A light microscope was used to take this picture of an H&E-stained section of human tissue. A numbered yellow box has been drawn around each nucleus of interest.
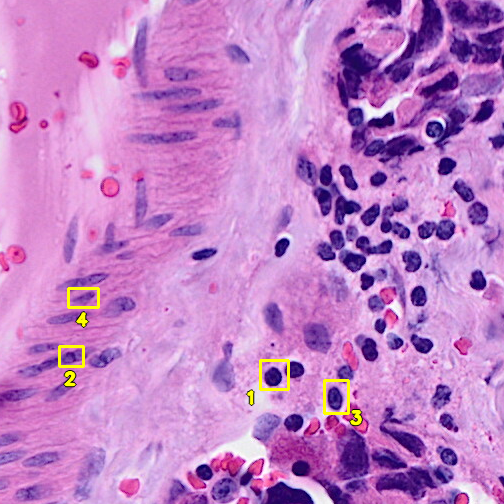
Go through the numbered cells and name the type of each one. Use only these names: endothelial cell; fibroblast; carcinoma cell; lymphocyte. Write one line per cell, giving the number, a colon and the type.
1: lymphocyte
2: endothelial cell
3: lymphocyte
4: endothelial cell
